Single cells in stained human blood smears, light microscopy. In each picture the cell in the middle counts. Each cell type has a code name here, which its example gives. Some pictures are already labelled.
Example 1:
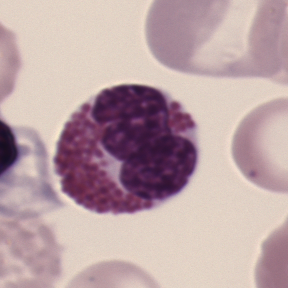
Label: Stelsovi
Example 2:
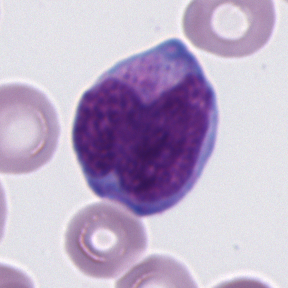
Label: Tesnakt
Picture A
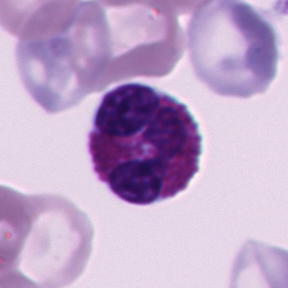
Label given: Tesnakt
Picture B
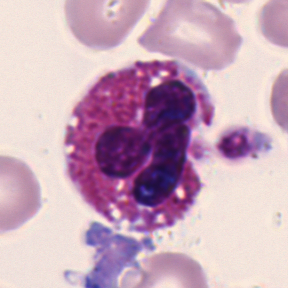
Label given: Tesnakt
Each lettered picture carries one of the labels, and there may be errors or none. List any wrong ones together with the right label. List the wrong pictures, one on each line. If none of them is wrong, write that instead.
A: not Tesnakt but Stelsovi
B: not Tesnakt but Stelsovi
